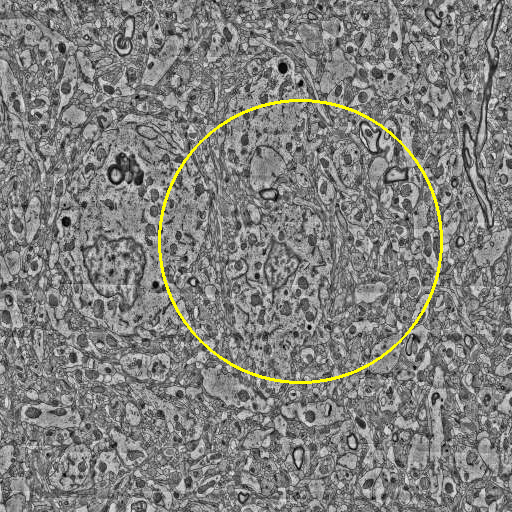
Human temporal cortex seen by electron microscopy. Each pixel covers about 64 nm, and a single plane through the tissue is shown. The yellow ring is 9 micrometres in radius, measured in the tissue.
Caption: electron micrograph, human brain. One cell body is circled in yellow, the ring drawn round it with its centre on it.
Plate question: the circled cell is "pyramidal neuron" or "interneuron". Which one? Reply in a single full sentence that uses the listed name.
The yellow ring on the plate is centred on a pyramidal neuron, going by the listed names.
